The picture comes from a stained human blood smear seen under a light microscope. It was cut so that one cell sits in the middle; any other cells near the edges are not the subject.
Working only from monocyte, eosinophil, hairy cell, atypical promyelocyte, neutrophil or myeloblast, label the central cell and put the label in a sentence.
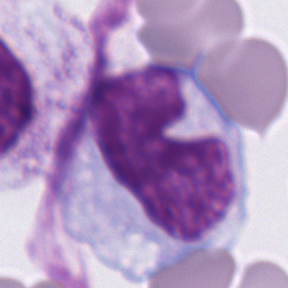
The cell at the middle of the frame should be recorded as a monocyte.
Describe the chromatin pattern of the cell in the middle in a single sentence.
No coarse chromatin clumps are present; the pattern is fine.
